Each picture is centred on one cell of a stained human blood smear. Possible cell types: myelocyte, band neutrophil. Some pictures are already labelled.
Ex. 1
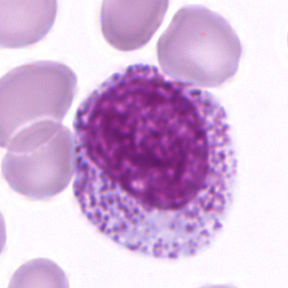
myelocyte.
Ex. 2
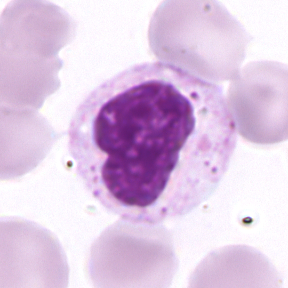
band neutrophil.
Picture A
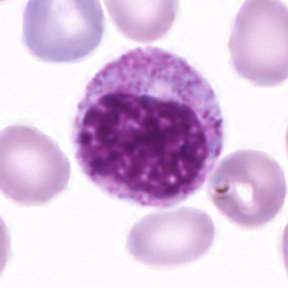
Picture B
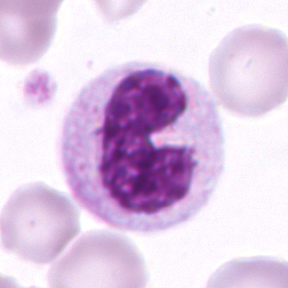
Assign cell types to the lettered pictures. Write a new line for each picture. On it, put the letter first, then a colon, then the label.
A: myelocyte.
B: band neutrophil.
